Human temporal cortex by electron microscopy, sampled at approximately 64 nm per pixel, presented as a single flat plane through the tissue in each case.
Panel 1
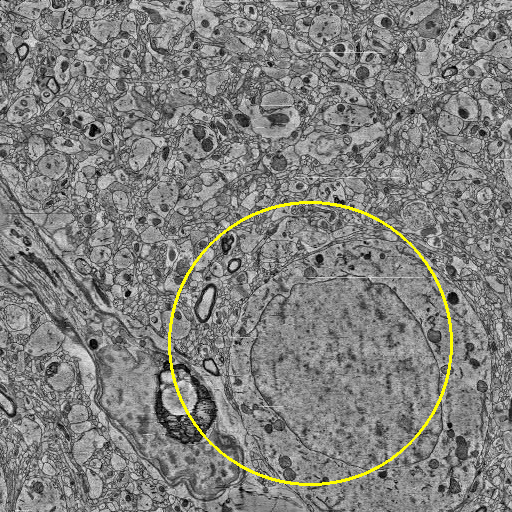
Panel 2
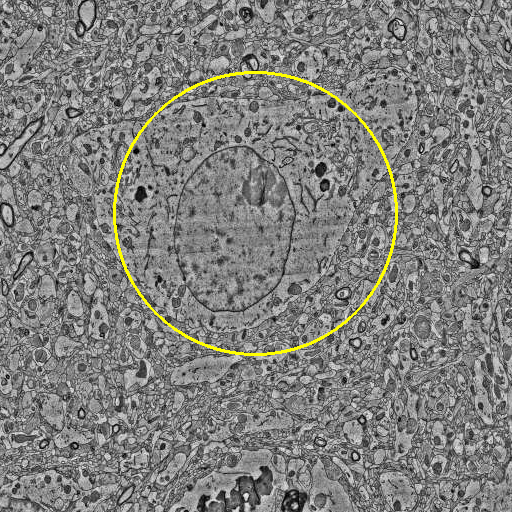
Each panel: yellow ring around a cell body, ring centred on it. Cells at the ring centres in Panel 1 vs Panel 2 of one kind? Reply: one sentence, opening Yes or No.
Yes, Panel 1 and Panel 2 have cells of one kind at the ring centres.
